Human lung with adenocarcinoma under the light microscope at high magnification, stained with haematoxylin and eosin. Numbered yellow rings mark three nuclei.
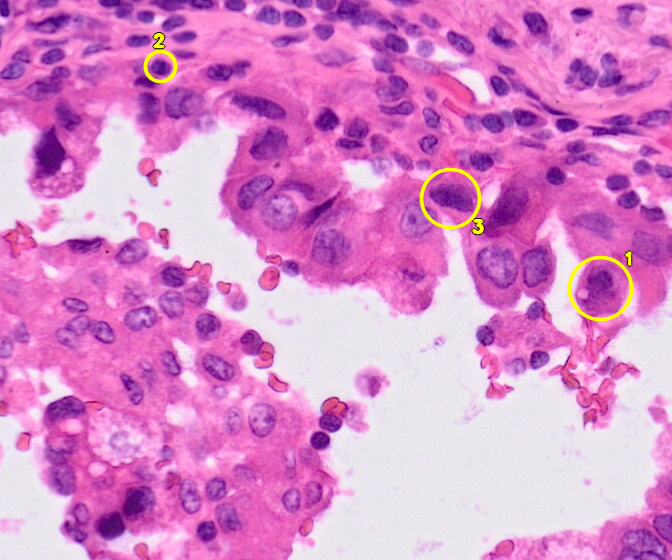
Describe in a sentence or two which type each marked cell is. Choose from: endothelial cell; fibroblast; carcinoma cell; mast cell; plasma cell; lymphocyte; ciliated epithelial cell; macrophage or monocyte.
Cells 1 and 3 are carcinoma cells. Cell 2 is a lymphocyte.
